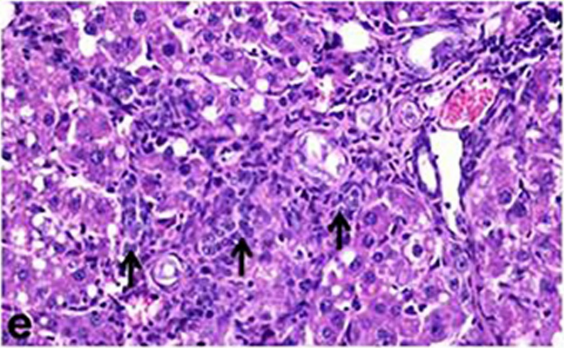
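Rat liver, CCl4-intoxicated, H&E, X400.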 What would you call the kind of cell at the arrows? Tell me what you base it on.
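Oval cell. The arrows point to small cells with oval dark nuclei and scant cytoplasm. These small cells lie in strands between the larger hepatocytes. A portal area with vessels lies nearby.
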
